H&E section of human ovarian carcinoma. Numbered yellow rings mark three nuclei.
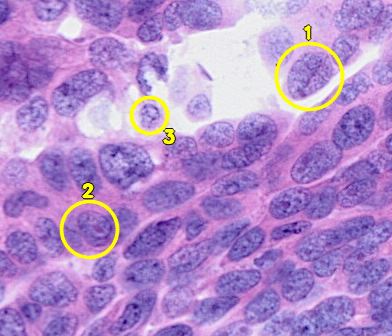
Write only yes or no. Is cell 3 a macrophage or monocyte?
yes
